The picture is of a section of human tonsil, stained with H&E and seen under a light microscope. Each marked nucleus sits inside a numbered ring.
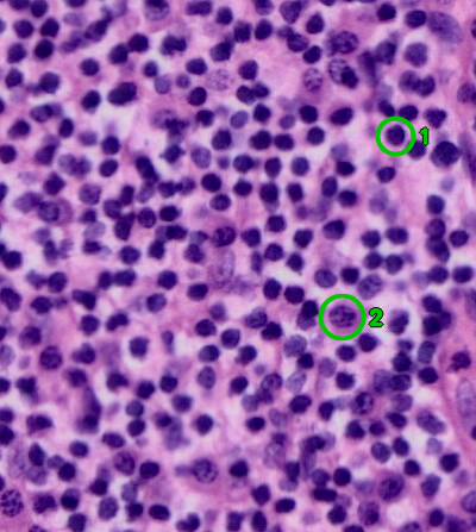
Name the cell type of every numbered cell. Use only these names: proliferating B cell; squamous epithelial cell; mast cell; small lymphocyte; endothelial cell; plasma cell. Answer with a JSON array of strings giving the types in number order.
["small lymphocyte", "plasma cell"]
